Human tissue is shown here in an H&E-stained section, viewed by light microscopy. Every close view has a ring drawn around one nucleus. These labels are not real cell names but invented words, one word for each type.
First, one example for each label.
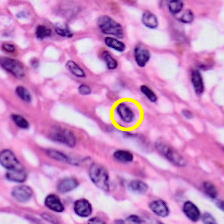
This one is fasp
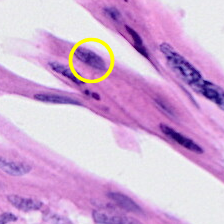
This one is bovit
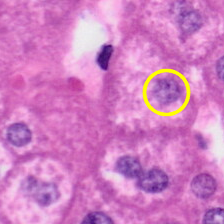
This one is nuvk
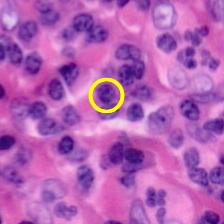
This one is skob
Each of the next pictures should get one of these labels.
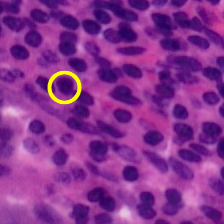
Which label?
skob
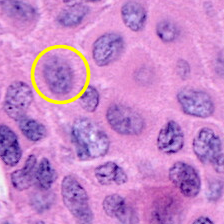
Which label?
bovit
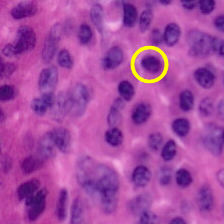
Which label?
skob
